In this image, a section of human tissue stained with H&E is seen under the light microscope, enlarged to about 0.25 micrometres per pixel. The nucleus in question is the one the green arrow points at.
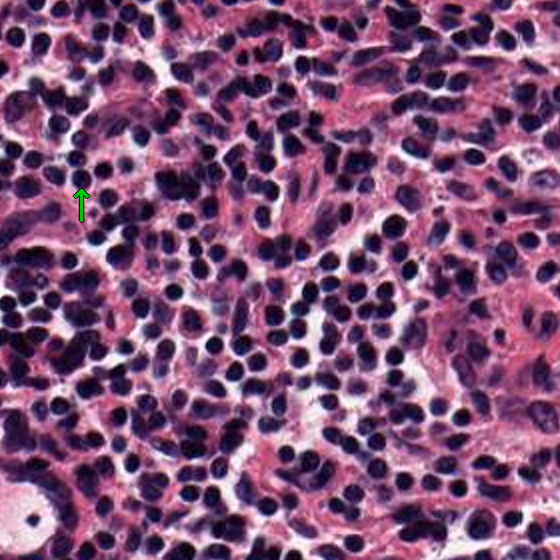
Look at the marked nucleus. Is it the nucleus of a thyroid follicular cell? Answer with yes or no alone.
no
